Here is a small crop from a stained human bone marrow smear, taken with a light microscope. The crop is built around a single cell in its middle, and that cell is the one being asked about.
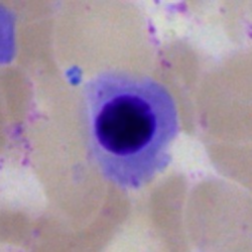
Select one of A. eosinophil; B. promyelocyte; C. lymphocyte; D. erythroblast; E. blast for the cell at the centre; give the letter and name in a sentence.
Identification: the cell in the middle is an erythroblast, matching option D.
